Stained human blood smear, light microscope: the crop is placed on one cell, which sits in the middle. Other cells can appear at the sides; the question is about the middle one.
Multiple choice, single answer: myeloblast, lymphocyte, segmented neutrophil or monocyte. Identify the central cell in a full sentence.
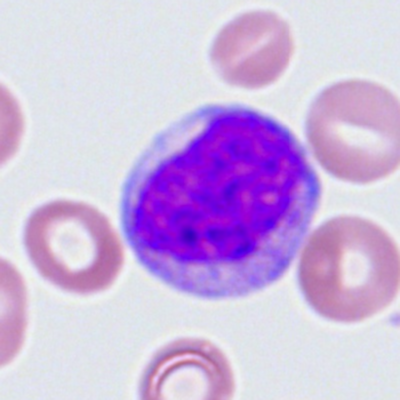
The cell in the middle of the field of view is a monocyte.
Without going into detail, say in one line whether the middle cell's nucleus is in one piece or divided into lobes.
The nucleus amounts to one compact mass with a round, oval or kidney-shaped outline.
